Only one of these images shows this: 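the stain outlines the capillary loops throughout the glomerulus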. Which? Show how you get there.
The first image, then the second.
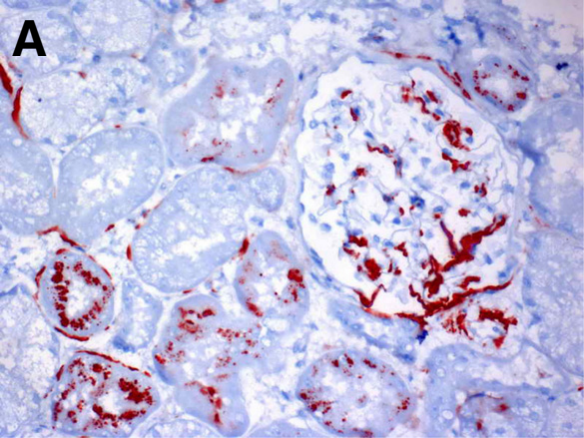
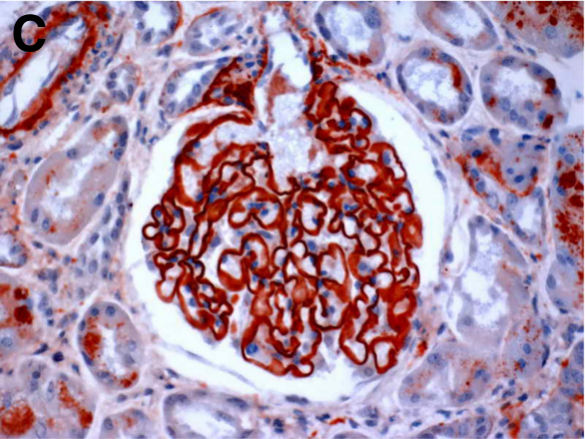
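The second image. Second image: red-brown stain lines the walls of nearly all the glomerular loops. First image: red stain forms scattered central strands in part of the glomerulus, loop walls largely unstained.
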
